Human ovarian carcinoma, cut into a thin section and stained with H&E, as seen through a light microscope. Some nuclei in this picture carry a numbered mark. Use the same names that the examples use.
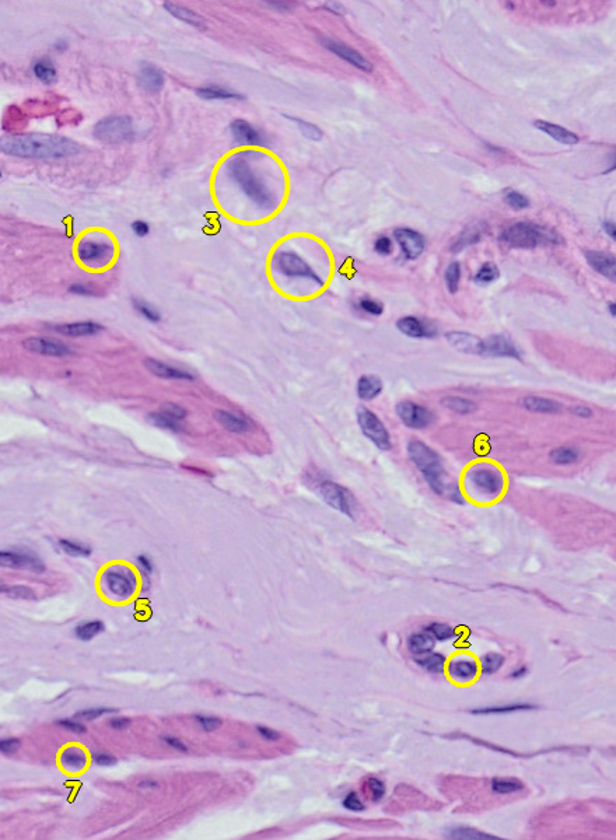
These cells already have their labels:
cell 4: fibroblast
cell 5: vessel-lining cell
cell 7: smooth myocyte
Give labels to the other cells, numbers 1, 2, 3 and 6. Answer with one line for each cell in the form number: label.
1: smooth myocyte
2: vessel-lining cell
3: fibroblast
6: smooth myocyte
